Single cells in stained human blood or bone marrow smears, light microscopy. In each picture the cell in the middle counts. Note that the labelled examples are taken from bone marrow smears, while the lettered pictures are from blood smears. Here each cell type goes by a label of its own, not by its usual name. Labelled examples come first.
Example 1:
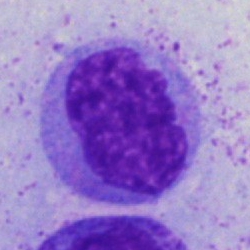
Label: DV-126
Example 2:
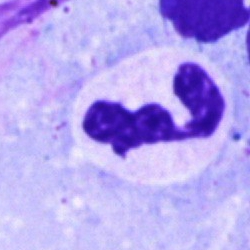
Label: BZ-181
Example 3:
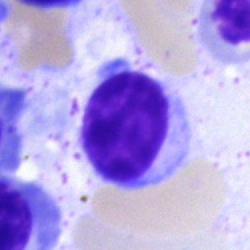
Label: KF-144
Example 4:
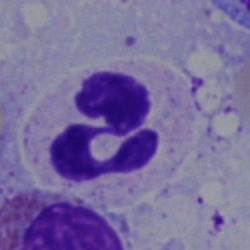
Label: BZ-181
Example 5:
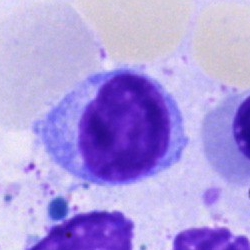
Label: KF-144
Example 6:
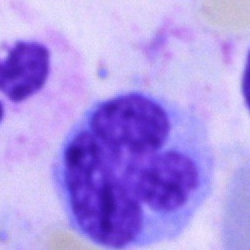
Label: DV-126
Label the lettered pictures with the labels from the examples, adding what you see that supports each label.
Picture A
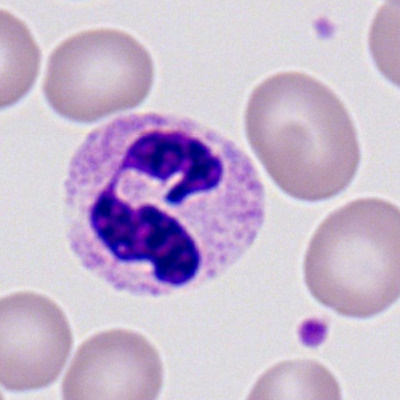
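BZ-181: The nucleus is a single curved band bent into an S-like shape.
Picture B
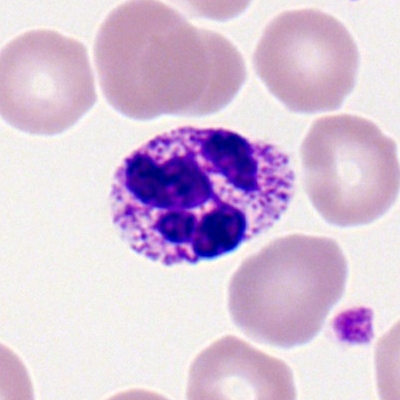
BZ-181: Purple-red granules are scattered throughout the cytoplasm.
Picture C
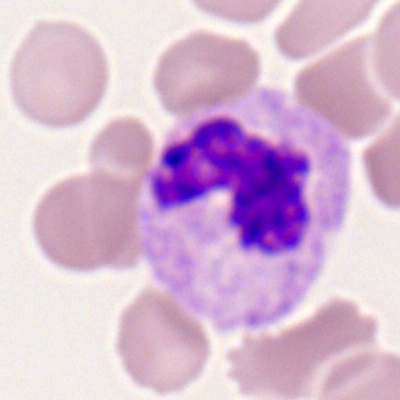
BZ-181: The nucleus is a single curved band bent into an arch whose open side faces downward.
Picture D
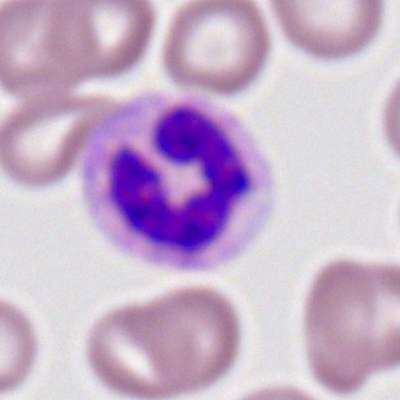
BZ-181: The nucleus is a single curved band bent into a C shape.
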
